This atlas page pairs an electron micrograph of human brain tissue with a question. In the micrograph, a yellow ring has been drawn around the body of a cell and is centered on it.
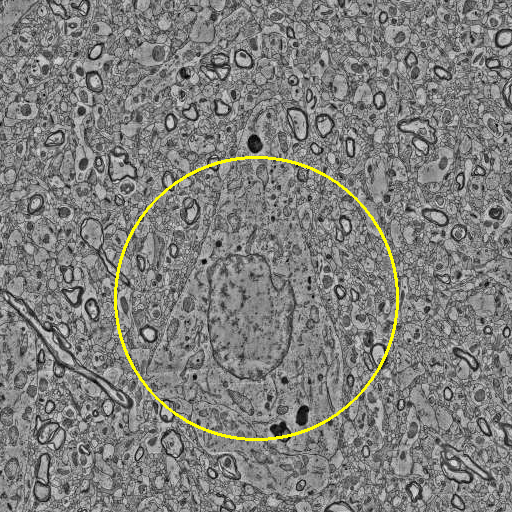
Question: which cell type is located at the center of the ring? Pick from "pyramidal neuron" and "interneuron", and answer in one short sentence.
Located at the center of the ring is a pyramidal neuron.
